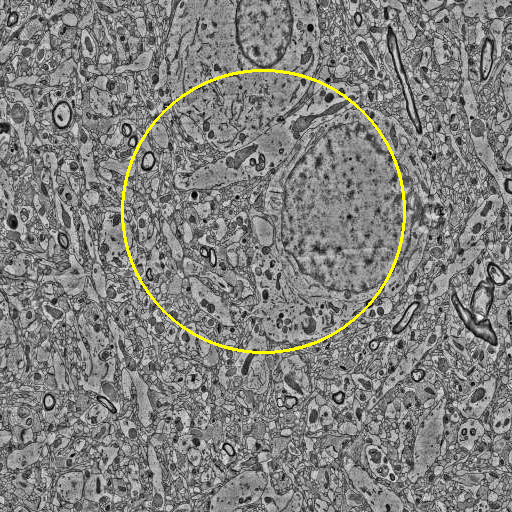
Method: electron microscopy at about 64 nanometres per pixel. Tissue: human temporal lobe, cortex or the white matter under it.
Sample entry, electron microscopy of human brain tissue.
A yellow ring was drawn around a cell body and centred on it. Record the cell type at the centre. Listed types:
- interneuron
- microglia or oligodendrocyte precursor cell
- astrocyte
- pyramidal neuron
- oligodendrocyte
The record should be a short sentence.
The cell at the ring's centre is a microglial cell or oligodendrocyte precursor cell.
